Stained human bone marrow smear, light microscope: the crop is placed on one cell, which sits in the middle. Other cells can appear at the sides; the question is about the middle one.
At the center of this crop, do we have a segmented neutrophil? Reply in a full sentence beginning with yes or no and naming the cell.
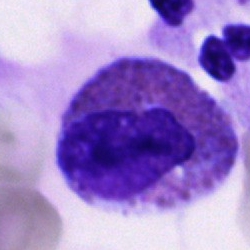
No, the central cell is not a segmented neutrophil, being instead an eosinophil.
